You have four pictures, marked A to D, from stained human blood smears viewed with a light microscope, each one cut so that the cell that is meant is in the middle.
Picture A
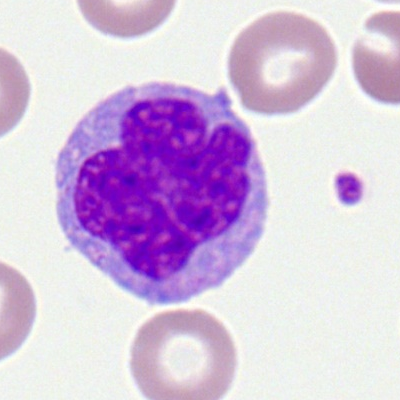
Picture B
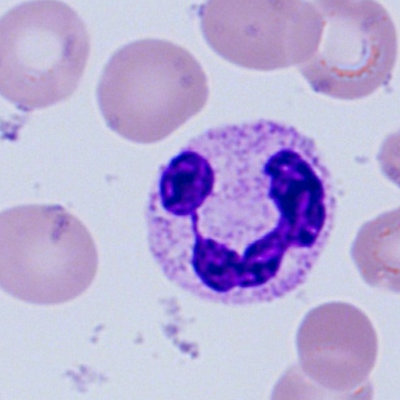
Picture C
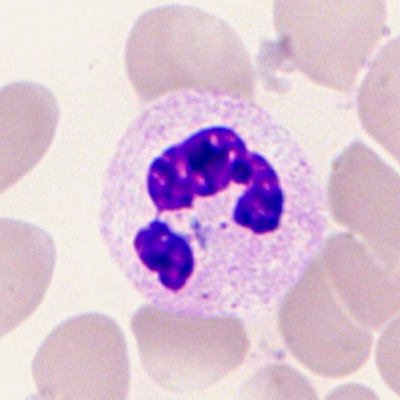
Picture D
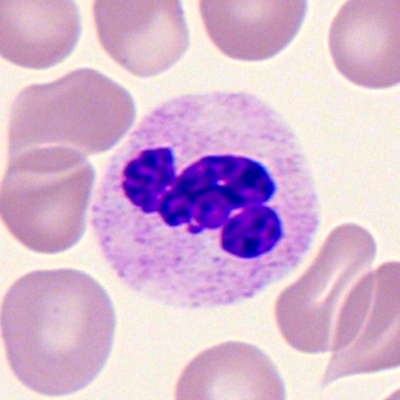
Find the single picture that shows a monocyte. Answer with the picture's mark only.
A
